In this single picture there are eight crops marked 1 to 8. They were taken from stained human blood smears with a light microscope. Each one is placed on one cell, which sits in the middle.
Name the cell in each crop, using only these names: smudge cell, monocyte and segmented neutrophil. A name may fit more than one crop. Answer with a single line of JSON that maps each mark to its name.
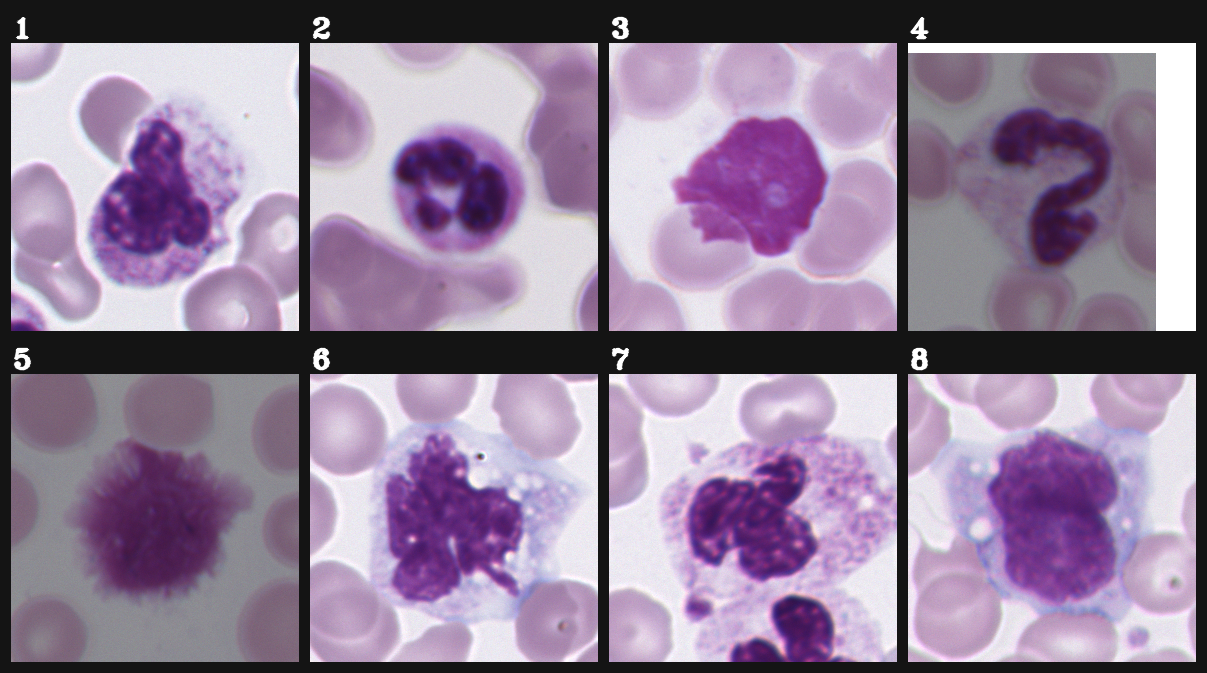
{"1": "segmented neutrophil", "2": "segmented neutrophil", "3": "smudge cell", "4": "segmented neutrophil", "5": "smudge cell", "6": "monocyte", "7": "segmented neutrophil", "8": "monocyte"}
